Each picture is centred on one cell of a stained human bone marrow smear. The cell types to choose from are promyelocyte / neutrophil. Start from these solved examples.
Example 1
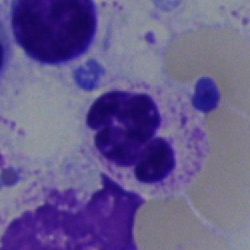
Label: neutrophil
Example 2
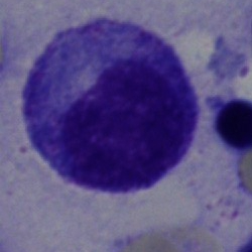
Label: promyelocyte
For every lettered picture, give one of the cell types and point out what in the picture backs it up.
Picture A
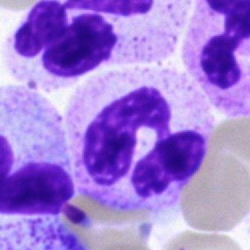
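Label: neutrophil. The chromatin is dark purple and coarsely clumped, with paler patches.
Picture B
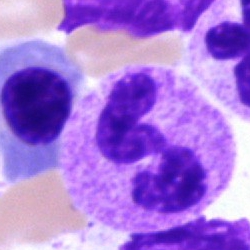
Label: neutrophil. The chromatin is dark purple and coarsely clumped.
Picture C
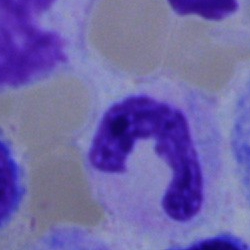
Label: neutrophil. The nucleus is a single curved band bent like a horseshoe.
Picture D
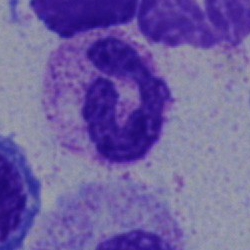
Label: neutrophil. The nucleus is a thick curved band bent into a nearly closed ring around a pale centre.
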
